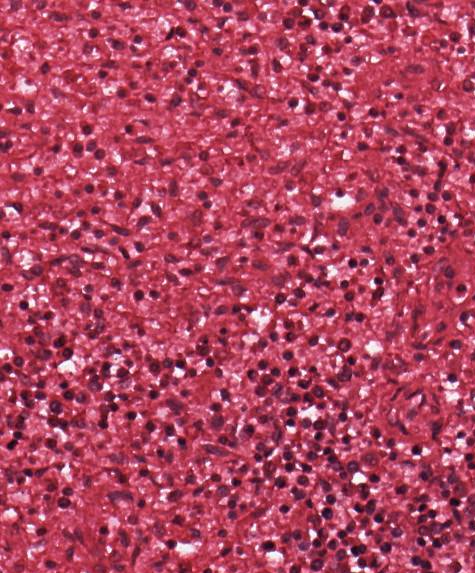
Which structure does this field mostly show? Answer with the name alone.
red pulp of the spleen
